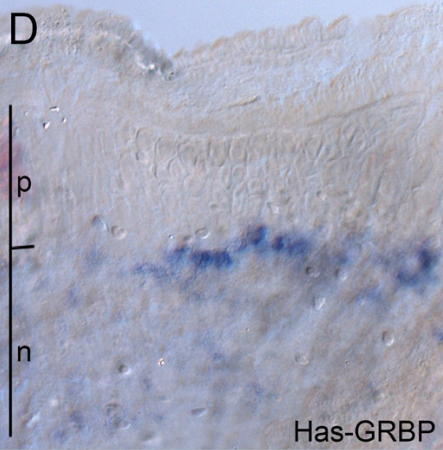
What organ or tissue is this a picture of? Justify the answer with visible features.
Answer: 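A soft tissue edge with a thin outer epithelium. A zone of regular columnar cells lies beneath the edge, with a band of blue-stained cells below it. The answer: mantle.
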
